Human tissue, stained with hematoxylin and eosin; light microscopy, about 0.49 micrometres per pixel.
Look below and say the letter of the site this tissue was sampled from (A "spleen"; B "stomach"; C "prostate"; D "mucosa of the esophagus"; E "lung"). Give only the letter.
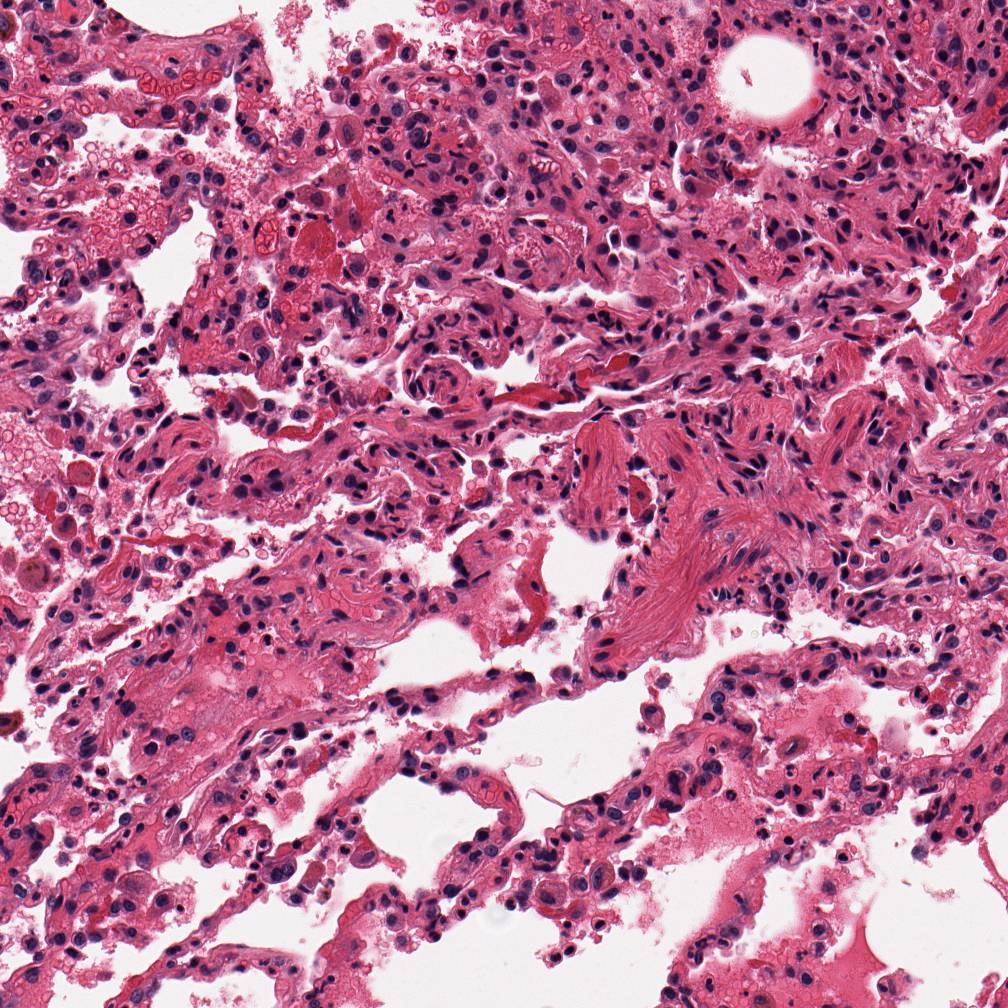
E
